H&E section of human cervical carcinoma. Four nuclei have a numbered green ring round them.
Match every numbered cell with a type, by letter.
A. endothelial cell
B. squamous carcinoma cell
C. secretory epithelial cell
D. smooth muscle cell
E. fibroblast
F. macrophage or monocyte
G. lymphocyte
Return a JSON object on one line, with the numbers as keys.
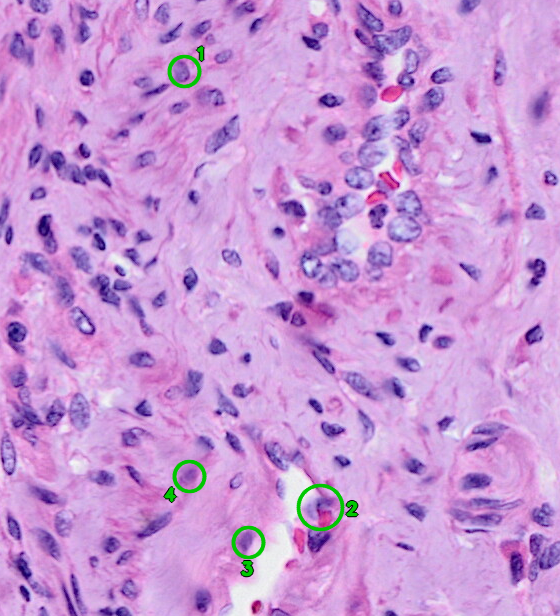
{"1": "D", "2": "A", "3": "A", "4": "D"}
